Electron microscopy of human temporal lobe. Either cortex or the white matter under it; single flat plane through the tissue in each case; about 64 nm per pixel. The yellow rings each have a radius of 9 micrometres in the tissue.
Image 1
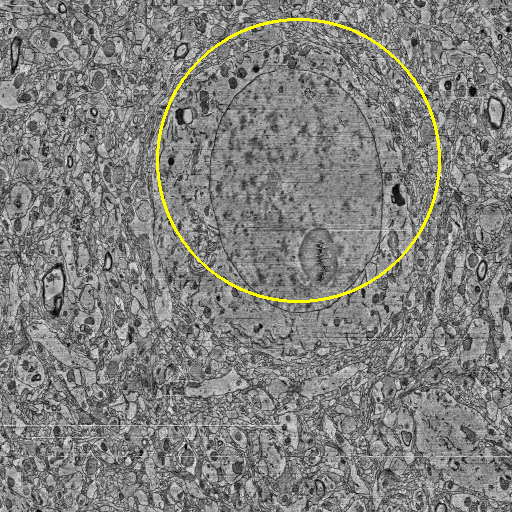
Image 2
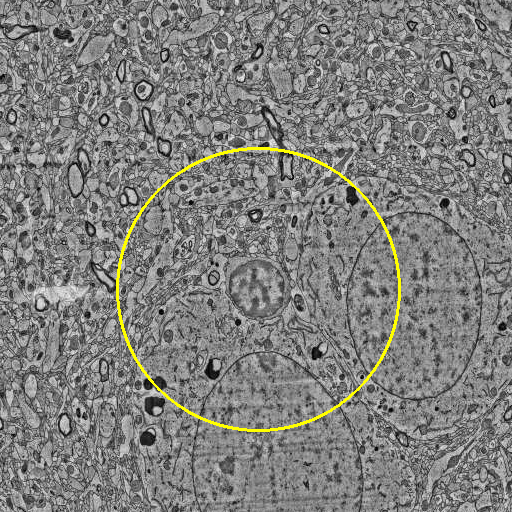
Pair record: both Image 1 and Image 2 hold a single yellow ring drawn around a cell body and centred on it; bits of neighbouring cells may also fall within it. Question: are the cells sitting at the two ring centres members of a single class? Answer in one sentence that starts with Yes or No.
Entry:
No, the ring-centre cells in Image 1 and Image 2 come from two classes.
